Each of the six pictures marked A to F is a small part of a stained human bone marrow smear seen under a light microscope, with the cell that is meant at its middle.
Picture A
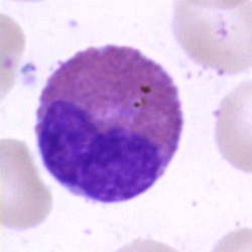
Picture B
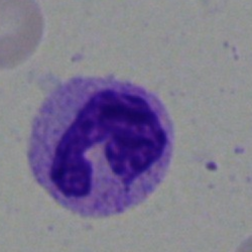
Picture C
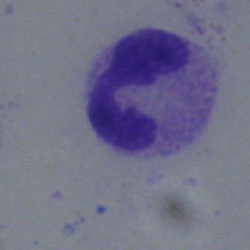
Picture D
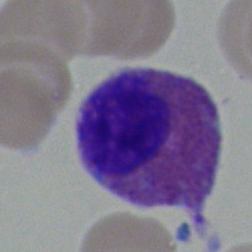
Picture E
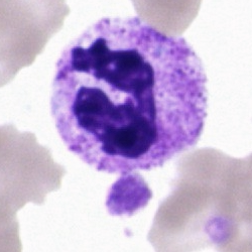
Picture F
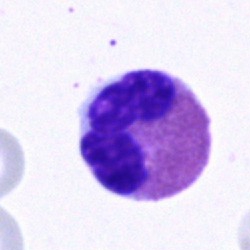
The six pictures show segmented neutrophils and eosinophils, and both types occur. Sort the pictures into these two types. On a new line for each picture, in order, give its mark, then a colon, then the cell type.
A: eosinophil
B: segmented neutrophil
C: segmented neutrophil
D: eosinophil
E: segmented neutrophil
F: eosinophil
